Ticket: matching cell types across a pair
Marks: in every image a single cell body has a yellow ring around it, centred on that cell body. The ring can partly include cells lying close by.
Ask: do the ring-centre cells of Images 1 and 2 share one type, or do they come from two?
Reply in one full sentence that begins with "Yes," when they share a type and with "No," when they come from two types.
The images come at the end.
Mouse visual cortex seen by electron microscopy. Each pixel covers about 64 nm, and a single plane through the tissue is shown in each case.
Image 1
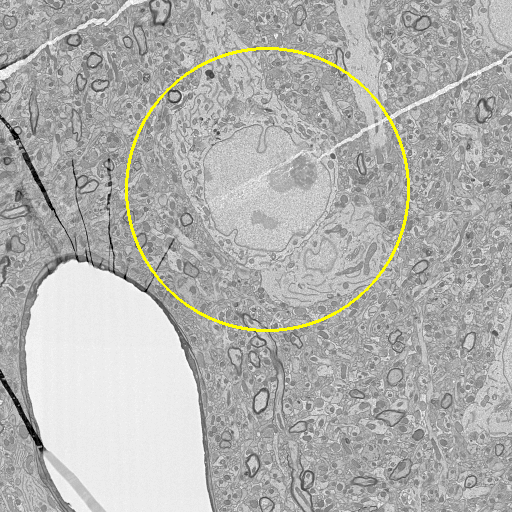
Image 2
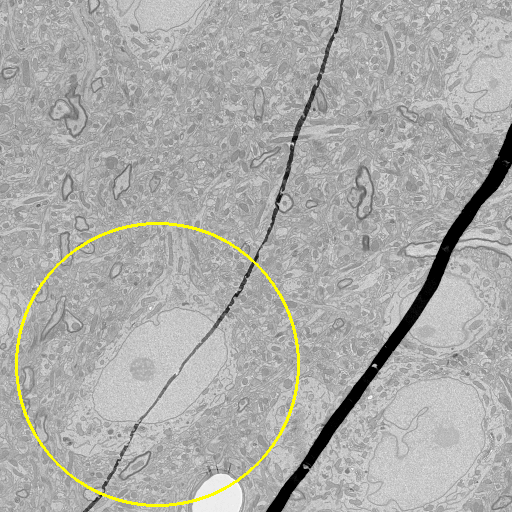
No, the cells in the centres of the rings in Image 1 and Image 2 come from two types.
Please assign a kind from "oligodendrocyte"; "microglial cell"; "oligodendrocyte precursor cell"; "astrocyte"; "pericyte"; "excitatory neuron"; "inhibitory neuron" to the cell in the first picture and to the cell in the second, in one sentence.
In the first picture we have an inhibitory neuron, and in the second, an excitatory neuron.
